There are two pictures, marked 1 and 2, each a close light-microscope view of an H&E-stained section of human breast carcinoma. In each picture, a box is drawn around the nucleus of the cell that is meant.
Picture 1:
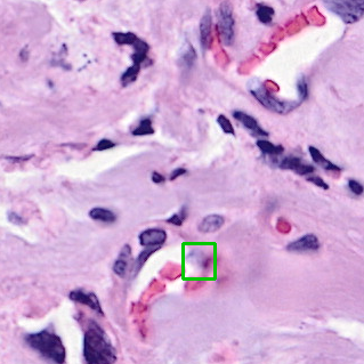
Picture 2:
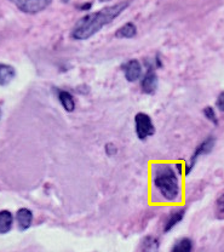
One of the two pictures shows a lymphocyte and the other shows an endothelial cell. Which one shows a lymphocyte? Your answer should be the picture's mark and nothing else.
2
